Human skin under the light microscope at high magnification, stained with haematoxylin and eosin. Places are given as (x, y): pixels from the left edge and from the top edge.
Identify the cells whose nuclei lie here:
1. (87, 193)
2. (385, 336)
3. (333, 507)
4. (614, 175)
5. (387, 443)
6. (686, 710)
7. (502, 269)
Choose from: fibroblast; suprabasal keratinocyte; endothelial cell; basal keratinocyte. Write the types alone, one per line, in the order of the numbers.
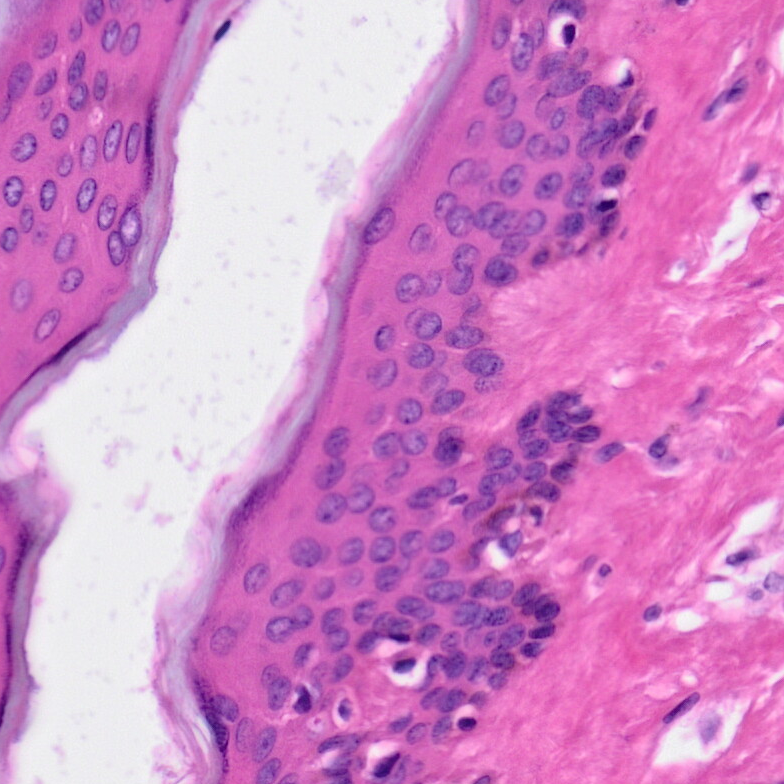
suprabasal keratinocyte
suprabasal keratinocyte
suprabasal keratinocyte
basal keratinocyte
suprabasal keratinocyte
fibroblast
basal keratinocyte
